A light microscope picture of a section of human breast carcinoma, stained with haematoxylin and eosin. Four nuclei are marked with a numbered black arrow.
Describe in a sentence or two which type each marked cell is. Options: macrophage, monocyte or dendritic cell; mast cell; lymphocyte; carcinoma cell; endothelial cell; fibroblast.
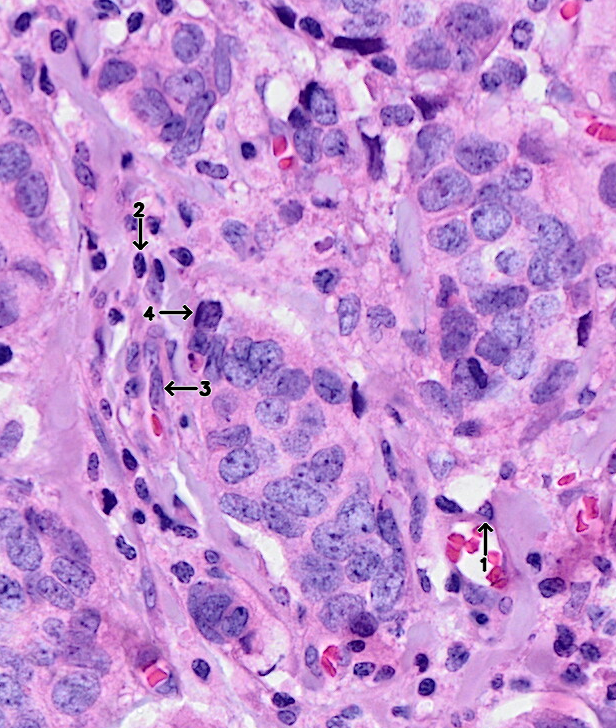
Cells 1 and 3 are endothelial cells. Cell 2 is a lymphocyte. Cell 4 is a carcinoma cell.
